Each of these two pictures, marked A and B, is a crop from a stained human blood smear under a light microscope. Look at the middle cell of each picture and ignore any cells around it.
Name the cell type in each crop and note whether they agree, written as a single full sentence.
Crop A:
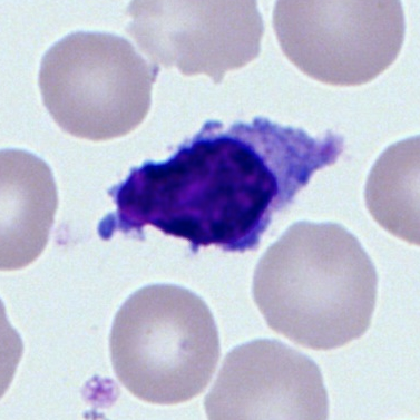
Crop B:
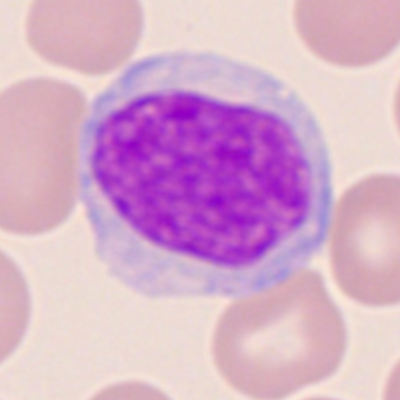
No, a lymphocyte is depicted by crop A, a monocyte by crop B.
